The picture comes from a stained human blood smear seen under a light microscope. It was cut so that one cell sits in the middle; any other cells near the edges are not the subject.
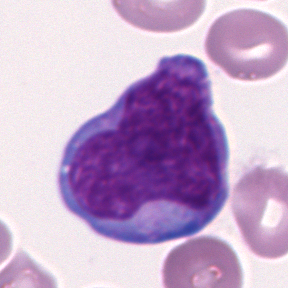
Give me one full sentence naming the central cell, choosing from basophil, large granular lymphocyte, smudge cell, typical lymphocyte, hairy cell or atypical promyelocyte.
The centrally positioned cell in the crop represents an atypical promyelocyte.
